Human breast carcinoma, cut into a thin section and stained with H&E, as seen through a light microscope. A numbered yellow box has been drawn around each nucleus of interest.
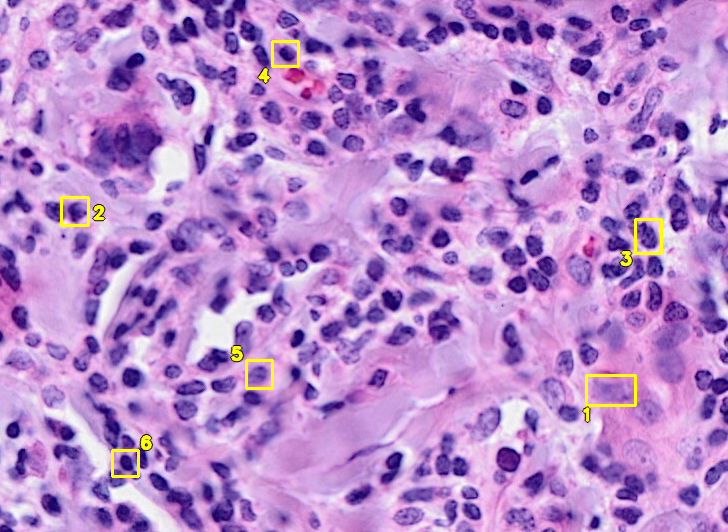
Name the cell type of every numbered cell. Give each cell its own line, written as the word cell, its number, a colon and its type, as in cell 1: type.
cell 1: endothelial cell
cell 2: lymphocyte
cell 3: lymphocyte
cell 4: lymphocyte
cell 5: mast cell
cell 6: lymphocyte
